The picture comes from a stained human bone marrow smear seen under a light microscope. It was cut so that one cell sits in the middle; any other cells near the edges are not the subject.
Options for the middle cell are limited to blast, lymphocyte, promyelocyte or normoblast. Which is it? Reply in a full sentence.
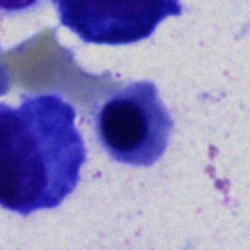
The cell positioned in the middle of the field is a normoblast.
